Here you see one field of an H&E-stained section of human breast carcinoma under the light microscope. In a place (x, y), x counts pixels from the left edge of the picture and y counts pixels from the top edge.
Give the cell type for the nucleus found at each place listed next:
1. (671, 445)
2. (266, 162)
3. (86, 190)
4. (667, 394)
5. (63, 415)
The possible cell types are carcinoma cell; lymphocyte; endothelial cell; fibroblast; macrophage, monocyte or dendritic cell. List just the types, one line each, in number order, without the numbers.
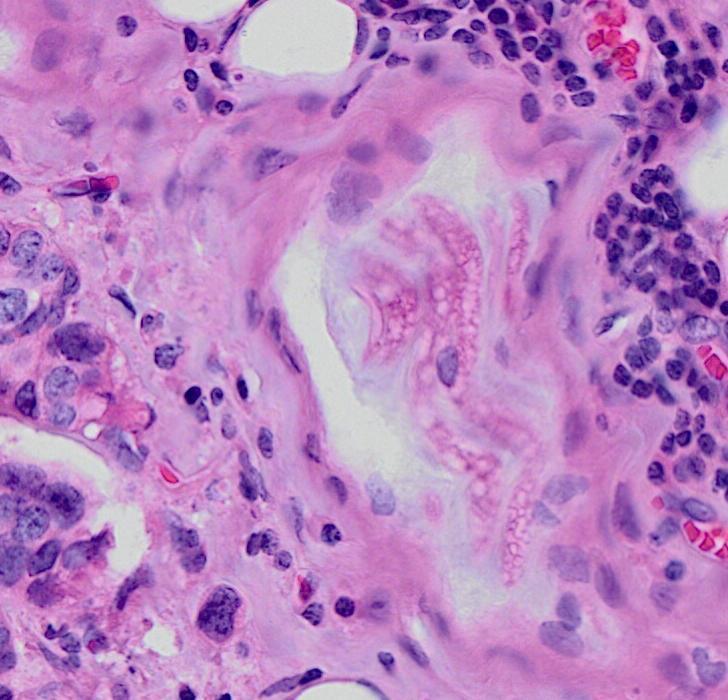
lymphocyte
fibroblast
endothelial cell
lymphocyte
carcinoma cell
